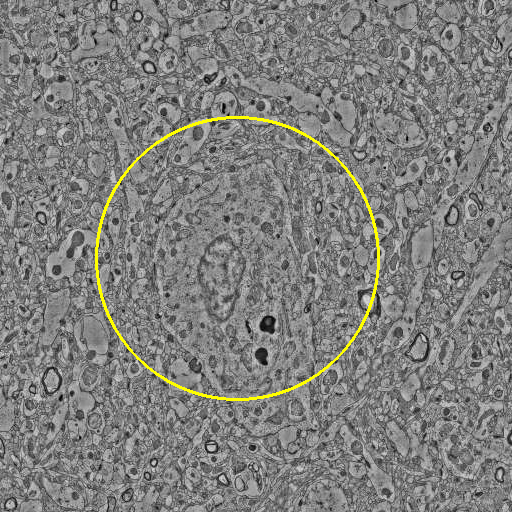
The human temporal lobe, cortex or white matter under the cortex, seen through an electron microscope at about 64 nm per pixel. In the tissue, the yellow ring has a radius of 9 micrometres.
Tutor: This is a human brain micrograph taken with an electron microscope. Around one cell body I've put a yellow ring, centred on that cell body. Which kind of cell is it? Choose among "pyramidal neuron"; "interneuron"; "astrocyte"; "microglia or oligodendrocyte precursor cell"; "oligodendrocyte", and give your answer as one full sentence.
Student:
Going by your list, the cell centred in the yellow ring is an interneuron.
